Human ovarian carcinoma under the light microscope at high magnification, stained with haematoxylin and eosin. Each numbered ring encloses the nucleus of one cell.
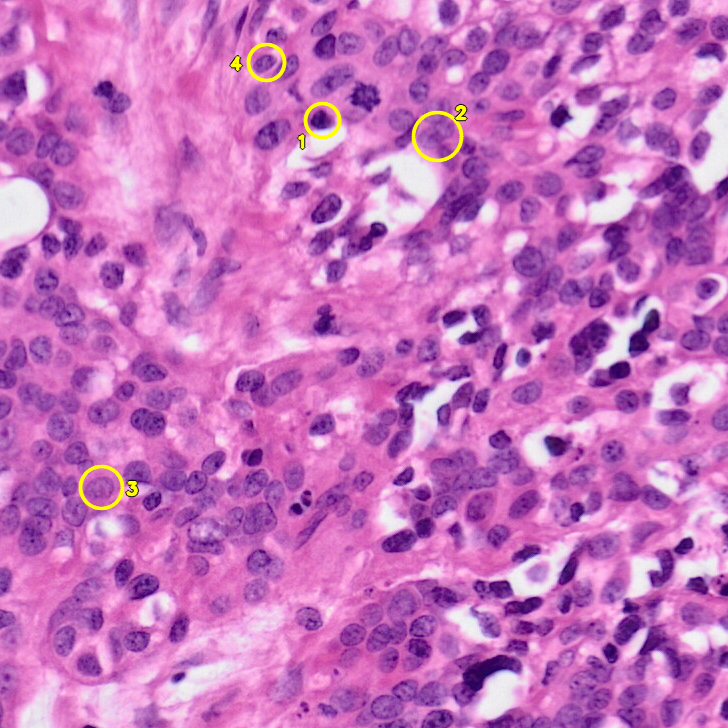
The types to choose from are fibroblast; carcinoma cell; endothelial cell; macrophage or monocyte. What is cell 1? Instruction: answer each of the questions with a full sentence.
Cell 1 in the field is a carcinoma cell.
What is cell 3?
Nucleus 3 in this section belongs to a carcinoma cell.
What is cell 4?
The cell marked with number 4 is a macrophage or monocyte.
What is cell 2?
Identified as a carcinoma cell is the cell bearing the number 2.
